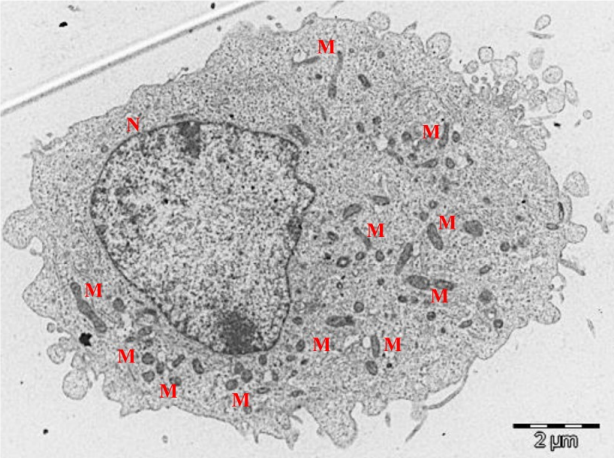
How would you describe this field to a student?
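A whole rounded cell is cut through, its margin bearing numerous small bulging projections. A large nucleus with an irregular, partly indented envelope fills much of one side, its chromatin mostly pale and finely granular with a few dark clumps. Many small dark mitochondria, round or elongated, are scattered through the cytoplasm around the nucleus.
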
